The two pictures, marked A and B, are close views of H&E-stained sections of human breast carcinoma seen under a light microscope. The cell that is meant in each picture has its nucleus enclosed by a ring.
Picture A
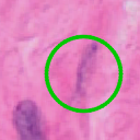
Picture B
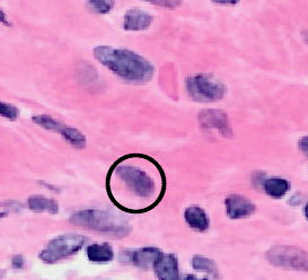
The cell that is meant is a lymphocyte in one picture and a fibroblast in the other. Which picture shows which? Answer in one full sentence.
Picture A is of a fibroblast, and picture B is of a lymphocyte.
